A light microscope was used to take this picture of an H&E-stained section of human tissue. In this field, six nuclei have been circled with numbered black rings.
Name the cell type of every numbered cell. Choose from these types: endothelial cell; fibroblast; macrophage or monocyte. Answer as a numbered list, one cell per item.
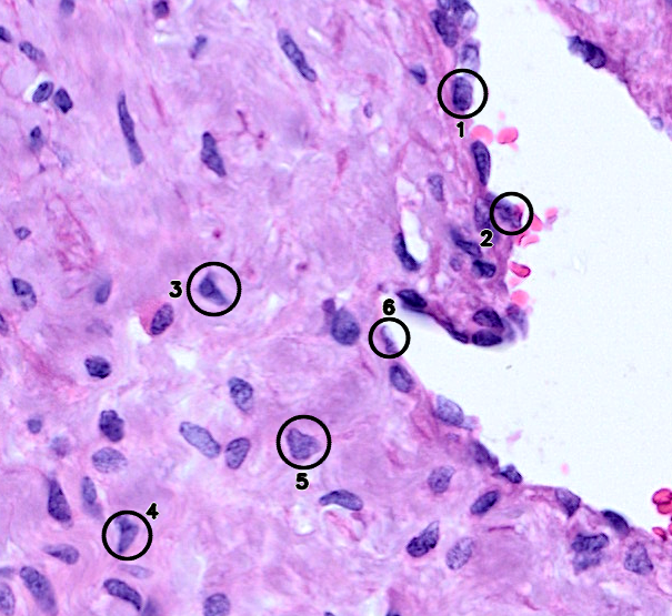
1. endothelial cell
2. endothelial cell
3. fibroblast
4. fibroblast
5. fibroblast
6. endothelial cell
